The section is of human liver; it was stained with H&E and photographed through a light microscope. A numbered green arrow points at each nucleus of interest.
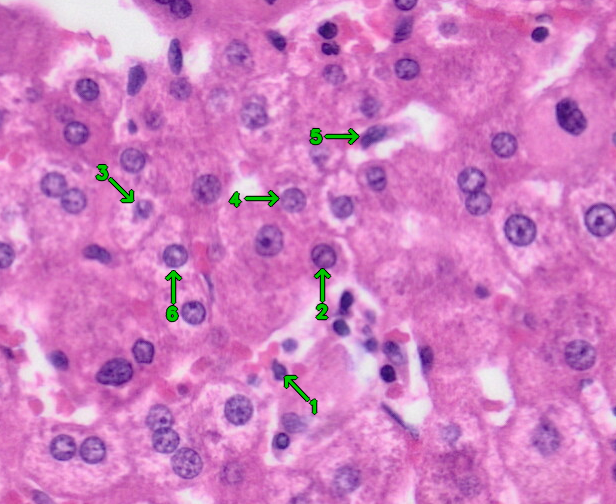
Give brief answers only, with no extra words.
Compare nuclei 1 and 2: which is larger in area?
2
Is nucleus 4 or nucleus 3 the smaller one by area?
3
